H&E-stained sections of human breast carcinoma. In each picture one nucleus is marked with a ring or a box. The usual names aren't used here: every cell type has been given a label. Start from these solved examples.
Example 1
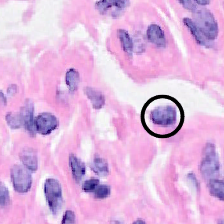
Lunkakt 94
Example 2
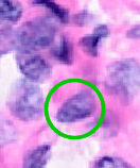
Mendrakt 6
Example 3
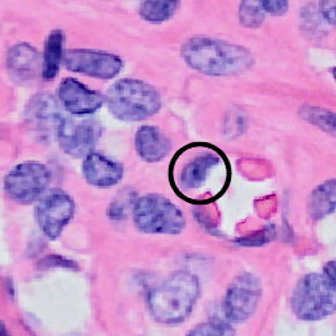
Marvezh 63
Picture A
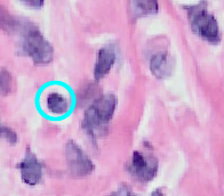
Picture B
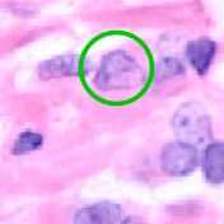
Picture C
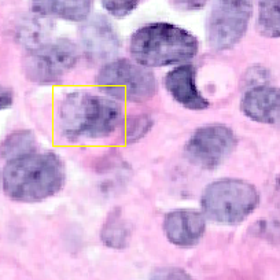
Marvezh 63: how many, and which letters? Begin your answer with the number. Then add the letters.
0, none of them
